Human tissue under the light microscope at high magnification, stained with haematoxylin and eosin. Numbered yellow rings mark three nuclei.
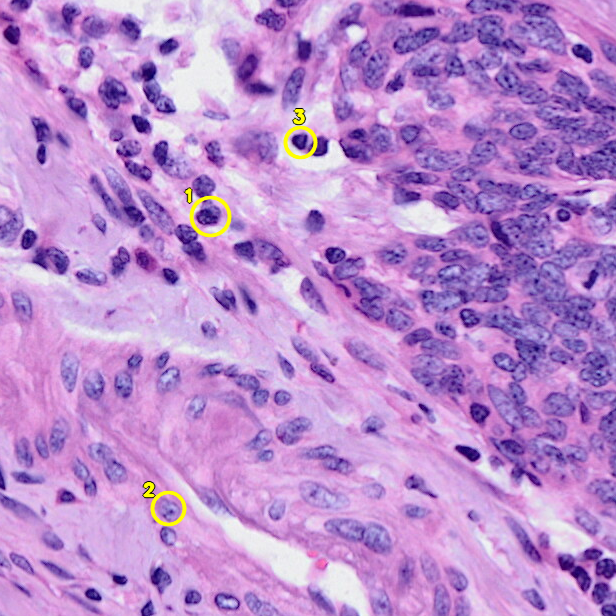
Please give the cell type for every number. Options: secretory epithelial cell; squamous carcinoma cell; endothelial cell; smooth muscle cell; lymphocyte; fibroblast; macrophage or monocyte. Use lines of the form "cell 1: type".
cell 1: lymphocyte
cell 2: smooth muscle cell
cell 3: lymphocyte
